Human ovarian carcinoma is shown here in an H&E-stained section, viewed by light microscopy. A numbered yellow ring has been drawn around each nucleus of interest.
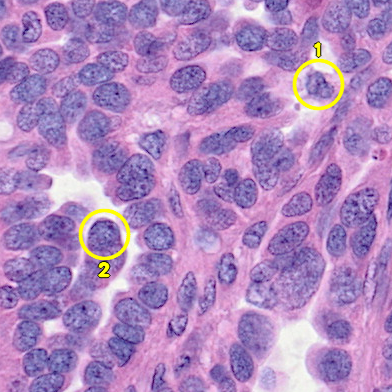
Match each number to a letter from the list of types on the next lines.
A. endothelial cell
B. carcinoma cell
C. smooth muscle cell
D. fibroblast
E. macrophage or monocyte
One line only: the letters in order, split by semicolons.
E; B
